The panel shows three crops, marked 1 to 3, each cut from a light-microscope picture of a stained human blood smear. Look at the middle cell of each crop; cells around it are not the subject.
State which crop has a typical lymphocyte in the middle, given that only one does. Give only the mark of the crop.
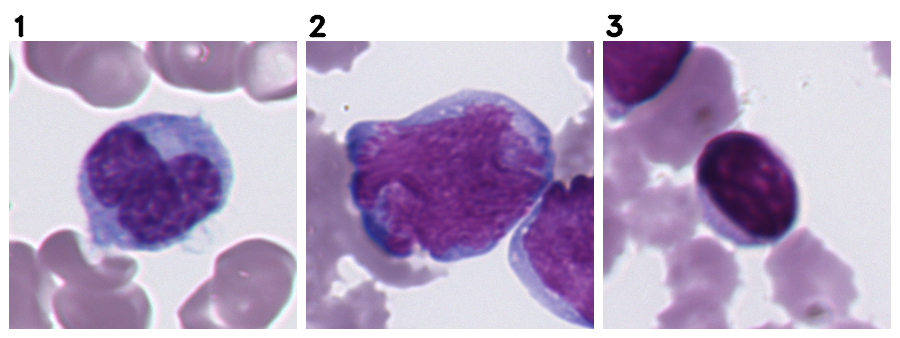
3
